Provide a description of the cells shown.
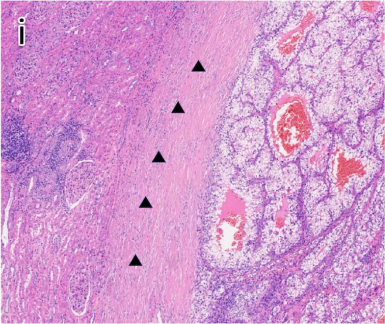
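This section shows a kidney tumour pressing against the surrounding renal parenchyma. A band of pink, cell-poor fibrous tissue runs down the middle as a pseudocapsule, and to its left lies crowded renal tissue with tubules and a cluster of dark-staining small cells.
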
